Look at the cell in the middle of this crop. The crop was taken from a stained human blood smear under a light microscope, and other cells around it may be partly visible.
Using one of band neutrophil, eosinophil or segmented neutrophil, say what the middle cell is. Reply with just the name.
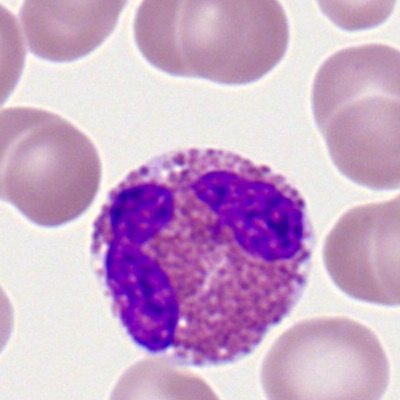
eosinophil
